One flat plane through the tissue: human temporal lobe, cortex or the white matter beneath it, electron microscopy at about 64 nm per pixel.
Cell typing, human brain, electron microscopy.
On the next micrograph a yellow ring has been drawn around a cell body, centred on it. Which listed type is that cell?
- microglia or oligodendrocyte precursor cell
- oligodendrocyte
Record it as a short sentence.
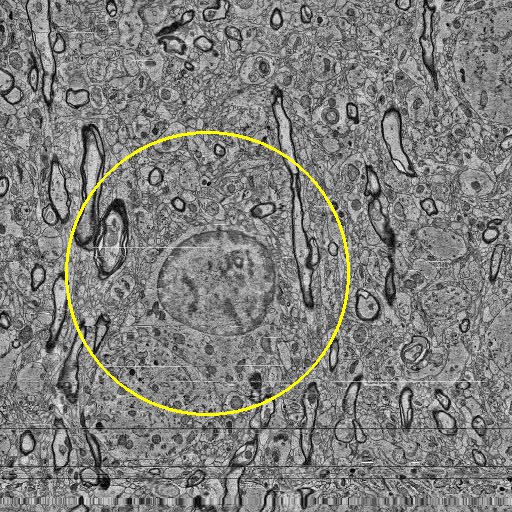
The cell body in the ring's centre belongs to an oligodendrocyte.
